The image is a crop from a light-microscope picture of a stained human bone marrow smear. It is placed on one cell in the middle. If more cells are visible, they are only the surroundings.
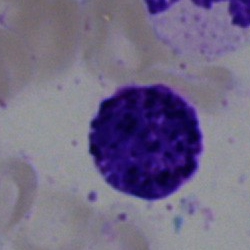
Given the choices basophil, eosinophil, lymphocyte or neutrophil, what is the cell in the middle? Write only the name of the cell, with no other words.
basophil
